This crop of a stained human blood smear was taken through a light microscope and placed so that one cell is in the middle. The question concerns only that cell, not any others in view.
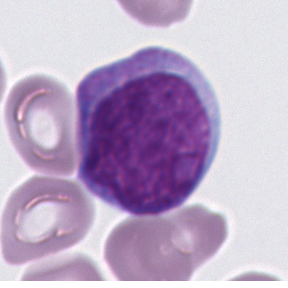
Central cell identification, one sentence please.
The central element of this crop is a cell, namely an atypical promyelocyte.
